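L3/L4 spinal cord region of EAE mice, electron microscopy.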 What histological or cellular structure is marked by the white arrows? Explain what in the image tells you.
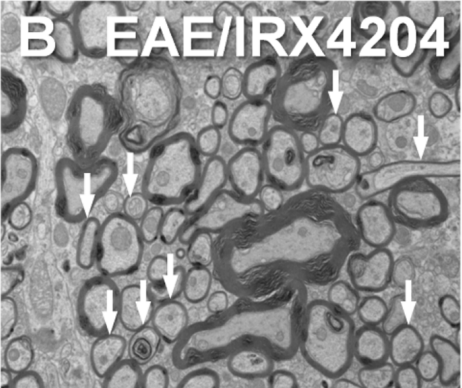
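The arrowed axons are wrapped by a thin dark sheath. Their sheaths are thin compared with the axon's width, unlike the thick dark rings around other axons.
Remyelinating axons.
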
